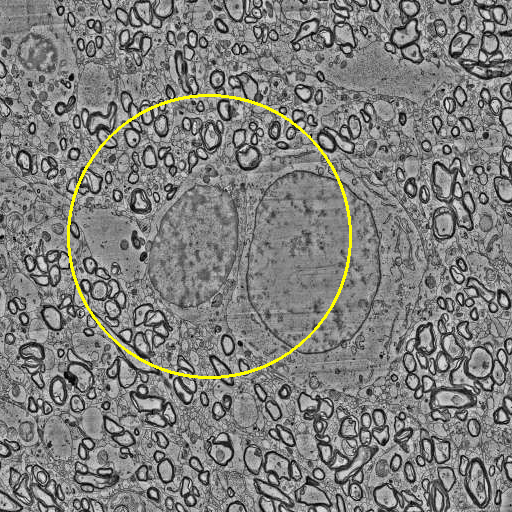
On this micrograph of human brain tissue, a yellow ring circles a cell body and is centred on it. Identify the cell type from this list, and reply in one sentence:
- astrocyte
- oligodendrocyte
The cell at the centre is an oligodendrocyte.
